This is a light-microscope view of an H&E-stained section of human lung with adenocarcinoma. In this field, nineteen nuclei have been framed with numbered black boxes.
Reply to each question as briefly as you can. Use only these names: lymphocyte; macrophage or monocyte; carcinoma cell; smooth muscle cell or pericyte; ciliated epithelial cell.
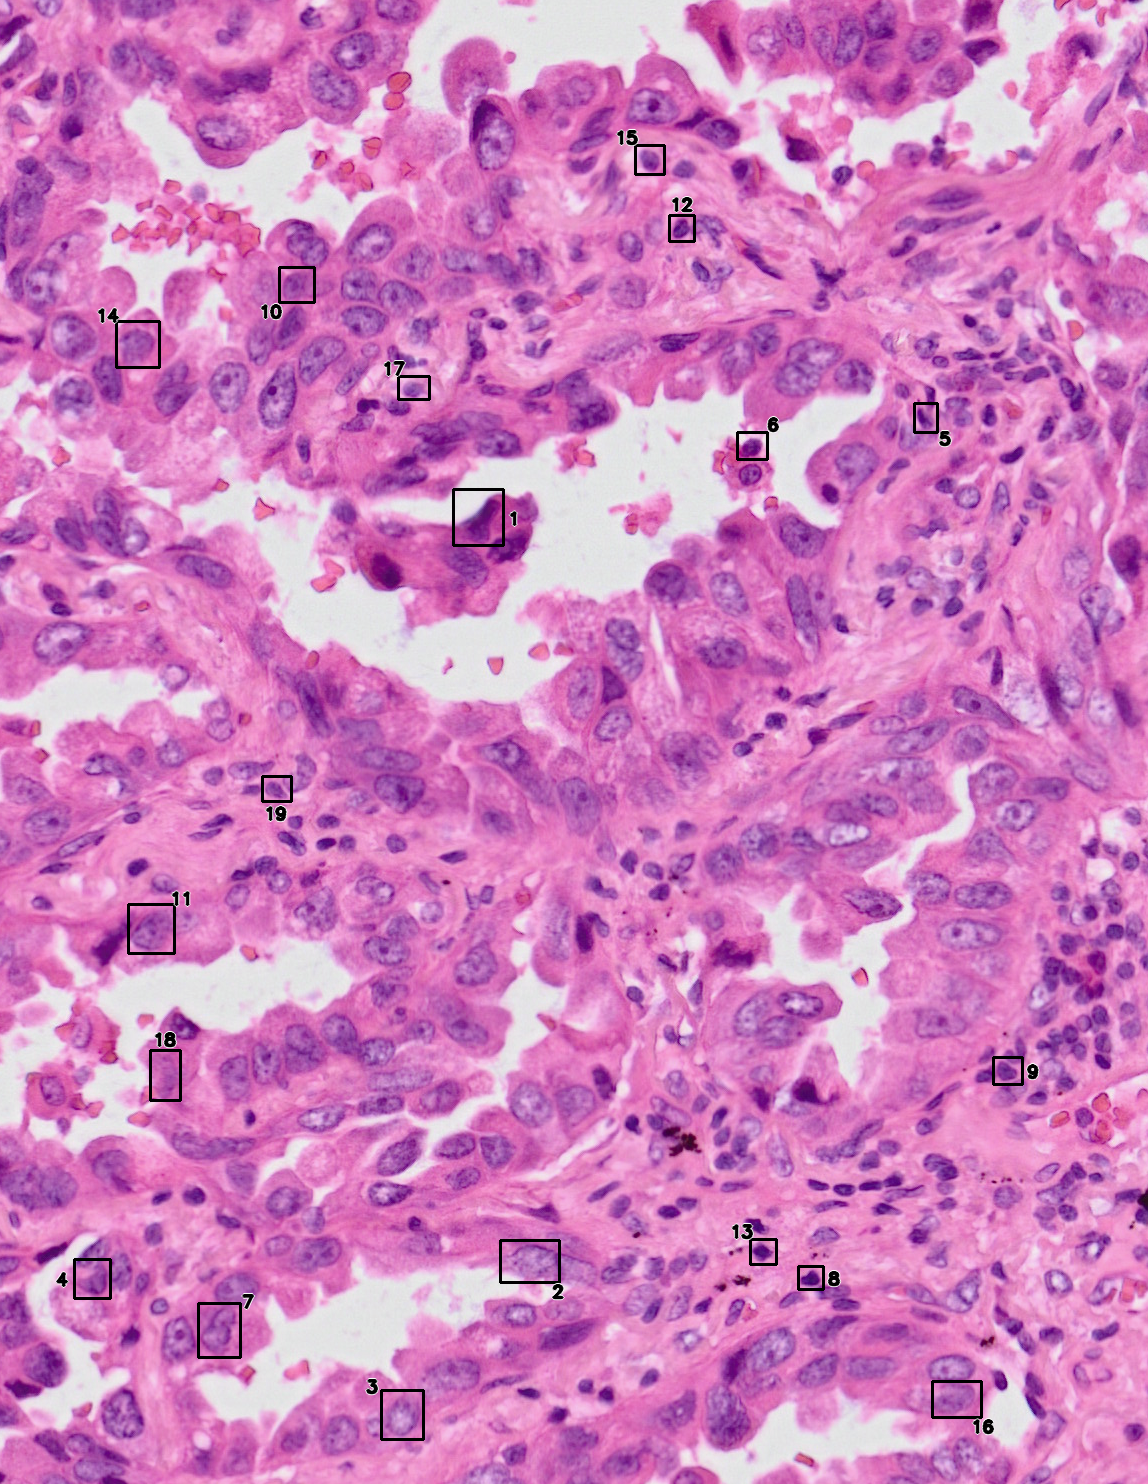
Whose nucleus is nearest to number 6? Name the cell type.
macrophage or monocyte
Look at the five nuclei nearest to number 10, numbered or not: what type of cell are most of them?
carcinoma cell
